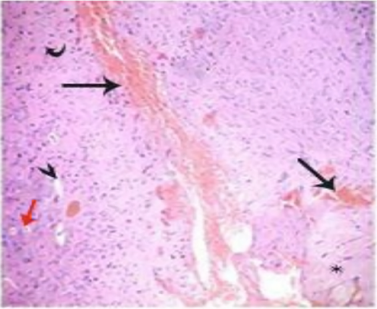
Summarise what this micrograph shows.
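This section of brain tissue shows disorganized neurons and crowded cells in pink neuropil, with a long diagonal streak of bright red blood across the field. Further red patches of hemorrhage lie to the right and lower part of the field. Clear vessel-like spaces are seen, and at the lower right the neuropil is pale and loose with small empty vacuoles.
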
